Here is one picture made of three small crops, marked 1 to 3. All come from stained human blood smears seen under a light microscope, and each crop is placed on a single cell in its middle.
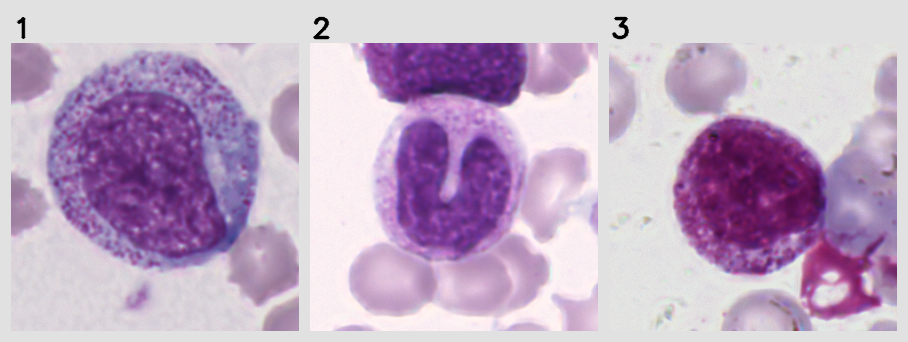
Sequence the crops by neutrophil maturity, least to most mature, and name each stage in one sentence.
In terms of maturity, from least to most, the order is crop 1 (a promyelocyte), crop 3 (a myelocyte) and crop 2 (a band neutrophil).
